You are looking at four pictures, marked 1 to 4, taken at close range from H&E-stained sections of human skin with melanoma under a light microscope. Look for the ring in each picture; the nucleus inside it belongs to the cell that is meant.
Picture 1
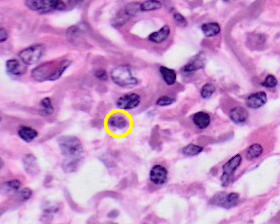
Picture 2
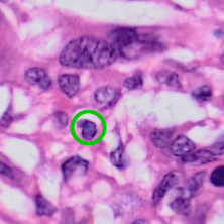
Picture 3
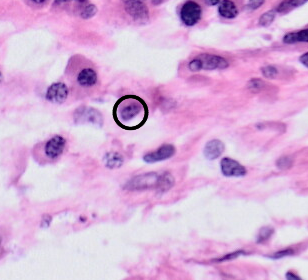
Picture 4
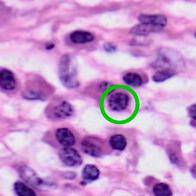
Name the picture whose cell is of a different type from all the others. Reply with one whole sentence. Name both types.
The different one is picture 2; it shows a lymphocyte, whereas all the others show plasma cells.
